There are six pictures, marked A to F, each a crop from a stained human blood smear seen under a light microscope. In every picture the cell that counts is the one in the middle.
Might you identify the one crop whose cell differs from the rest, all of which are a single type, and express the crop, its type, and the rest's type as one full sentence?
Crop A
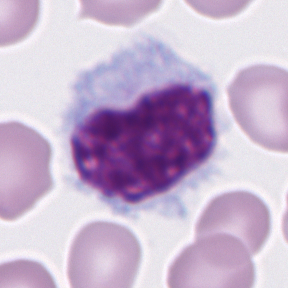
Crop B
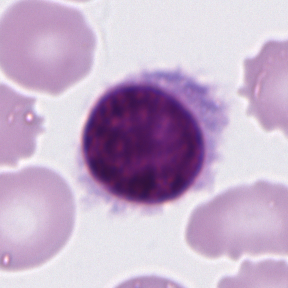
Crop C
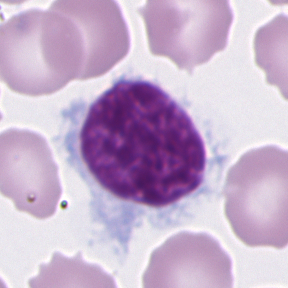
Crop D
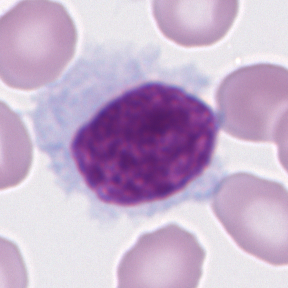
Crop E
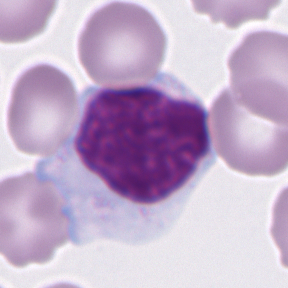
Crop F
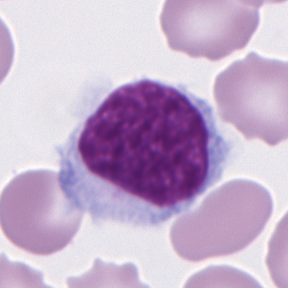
Crop E is the different one, a typical lymphocyte, while the rest are hairy cells.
